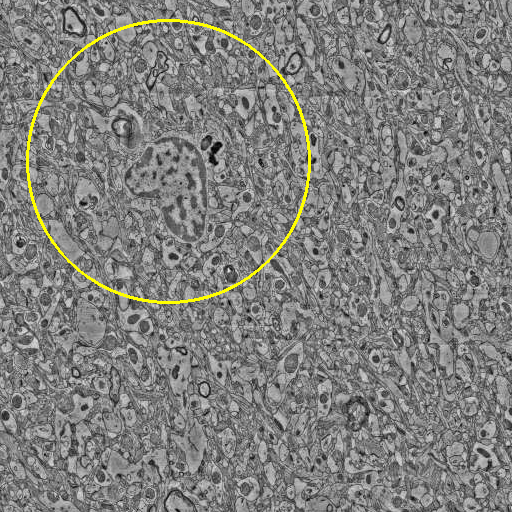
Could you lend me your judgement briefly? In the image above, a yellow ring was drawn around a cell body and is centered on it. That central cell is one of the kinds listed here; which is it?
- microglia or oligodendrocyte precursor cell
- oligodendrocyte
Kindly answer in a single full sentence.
Going by the list, a microglial cell or oligodendrocyte precursor cell is the kind at the ring's center in the picture.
